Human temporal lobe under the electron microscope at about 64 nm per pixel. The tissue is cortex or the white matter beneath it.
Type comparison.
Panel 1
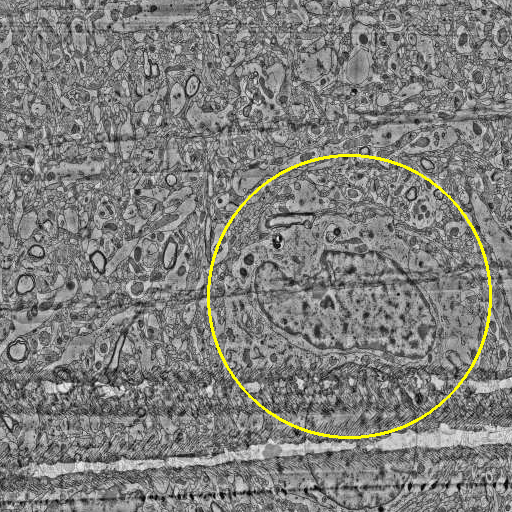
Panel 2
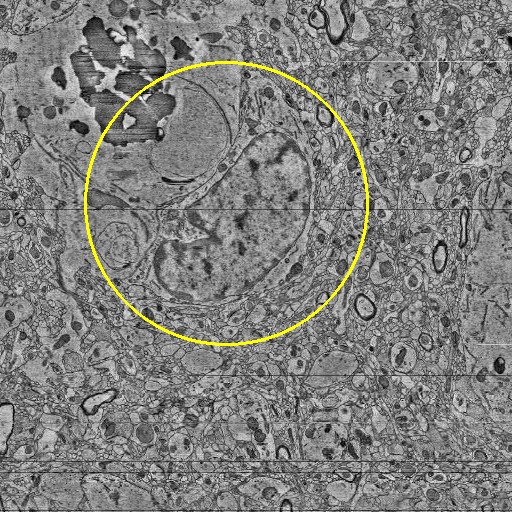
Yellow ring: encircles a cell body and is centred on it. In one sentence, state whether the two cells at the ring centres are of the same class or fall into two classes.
In these panels, the two cells at the ring centres are of the same class.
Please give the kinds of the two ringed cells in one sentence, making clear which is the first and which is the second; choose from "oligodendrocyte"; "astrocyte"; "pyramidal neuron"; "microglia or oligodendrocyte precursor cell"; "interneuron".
The second cell is a microglial cell or oligodendrocyte precursor cell, just as the first is.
